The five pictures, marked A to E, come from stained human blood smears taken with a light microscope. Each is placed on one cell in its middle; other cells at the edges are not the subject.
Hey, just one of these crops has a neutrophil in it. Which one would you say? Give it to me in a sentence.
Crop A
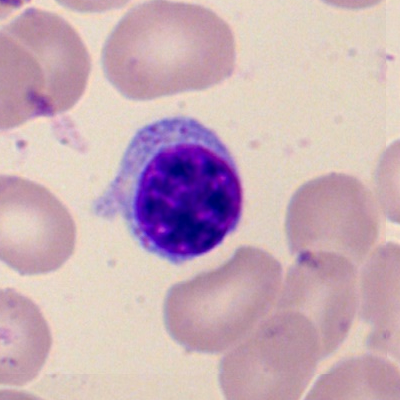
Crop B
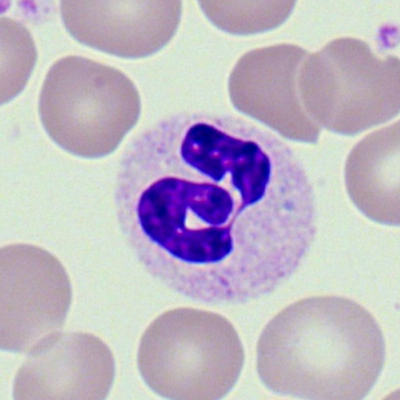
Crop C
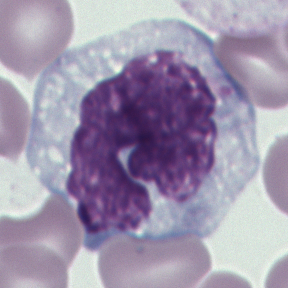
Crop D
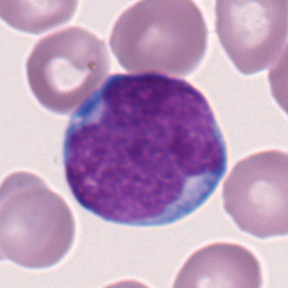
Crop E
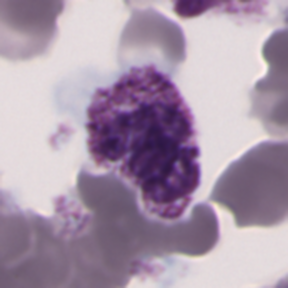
Among the crops, only crop B contains a neutrophil.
